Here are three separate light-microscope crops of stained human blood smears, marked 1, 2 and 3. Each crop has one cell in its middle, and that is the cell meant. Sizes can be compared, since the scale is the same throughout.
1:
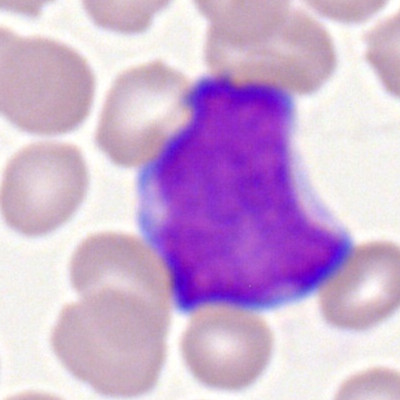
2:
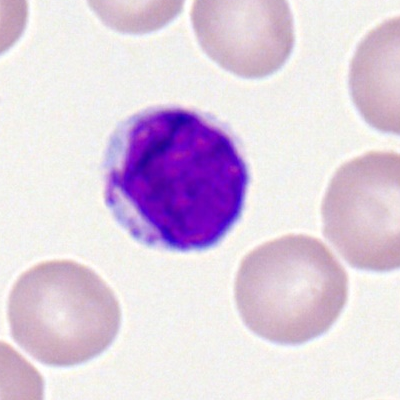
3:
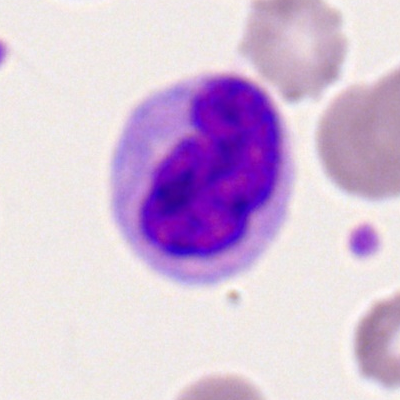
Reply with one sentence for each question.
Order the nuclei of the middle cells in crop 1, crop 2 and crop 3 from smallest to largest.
Smallest first: 2, 3, 1.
